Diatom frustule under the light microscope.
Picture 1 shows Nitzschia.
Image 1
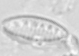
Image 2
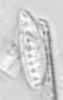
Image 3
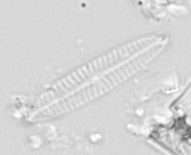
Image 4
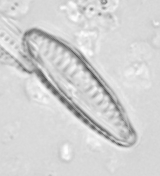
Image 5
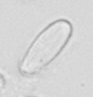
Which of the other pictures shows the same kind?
Picture 2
